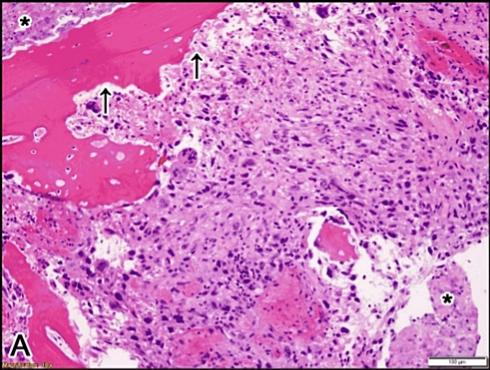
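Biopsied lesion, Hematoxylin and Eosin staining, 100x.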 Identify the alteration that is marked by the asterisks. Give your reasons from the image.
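The asterisks lie on pale pink areas with faded, indistinct cells. These areas lack the crisp dark nuclei of the neighbouring cell sheets. The answer: necrotic.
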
